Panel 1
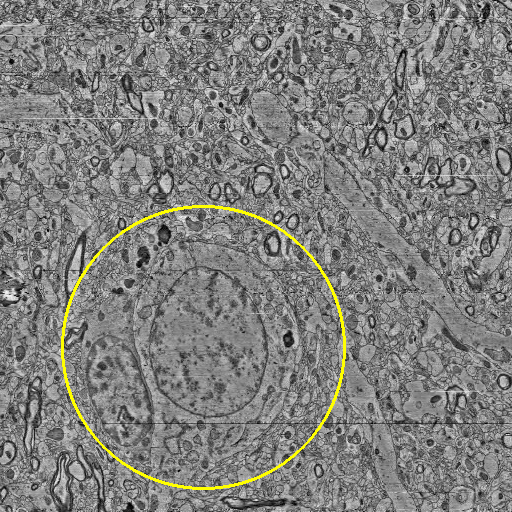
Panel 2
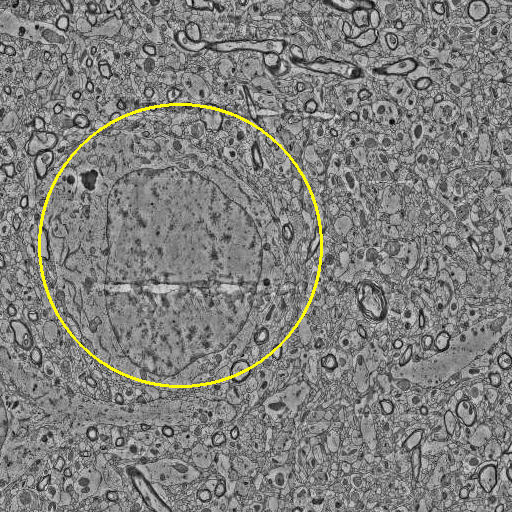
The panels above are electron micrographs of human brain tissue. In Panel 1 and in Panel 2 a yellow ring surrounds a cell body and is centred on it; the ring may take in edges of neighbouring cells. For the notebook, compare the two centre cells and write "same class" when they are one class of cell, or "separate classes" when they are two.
same class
